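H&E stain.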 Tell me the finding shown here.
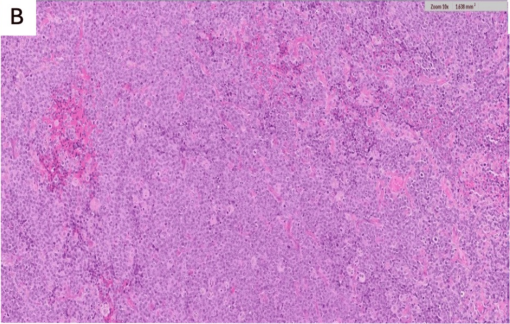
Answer: Sheets of large cells.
